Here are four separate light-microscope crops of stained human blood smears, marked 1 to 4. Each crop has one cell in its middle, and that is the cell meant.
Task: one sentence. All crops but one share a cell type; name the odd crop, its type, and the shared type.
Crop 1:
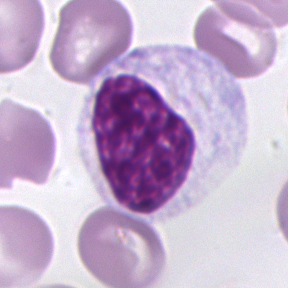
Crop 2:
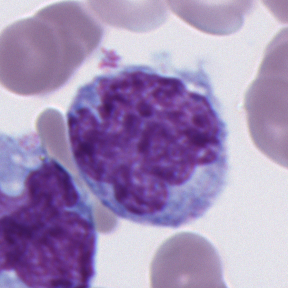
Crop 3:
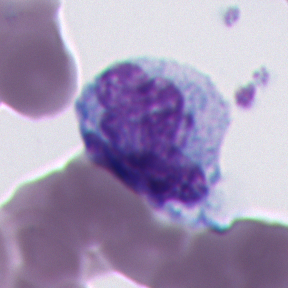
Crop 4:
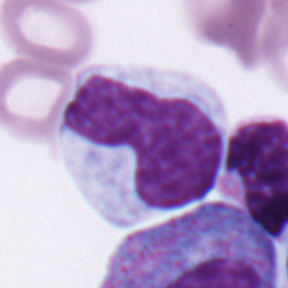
The different one is crop 1, which is a metamyelocyte; the rest all show monocytes.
